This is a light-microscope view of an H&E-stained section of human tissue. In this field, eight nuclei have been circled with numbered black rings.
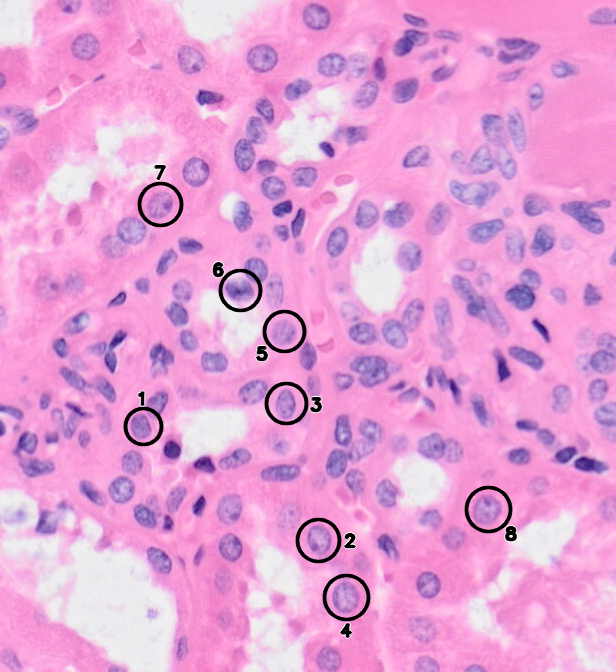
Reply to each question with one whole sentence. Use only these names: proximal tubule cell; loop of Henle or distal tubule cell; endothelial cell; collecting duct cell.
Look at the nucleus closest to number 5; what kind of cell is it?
Number 5 lies closest to the nucleus of an endothelial cell.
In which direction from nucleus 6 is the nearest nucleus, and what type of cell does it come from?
The nearest one is a collecting duct cell, found above and to the right of nucleus 6.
